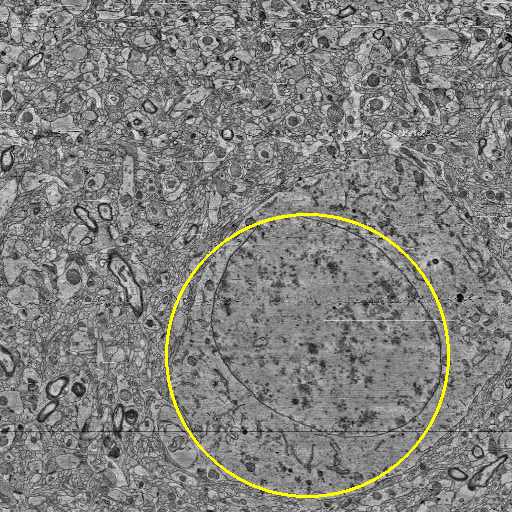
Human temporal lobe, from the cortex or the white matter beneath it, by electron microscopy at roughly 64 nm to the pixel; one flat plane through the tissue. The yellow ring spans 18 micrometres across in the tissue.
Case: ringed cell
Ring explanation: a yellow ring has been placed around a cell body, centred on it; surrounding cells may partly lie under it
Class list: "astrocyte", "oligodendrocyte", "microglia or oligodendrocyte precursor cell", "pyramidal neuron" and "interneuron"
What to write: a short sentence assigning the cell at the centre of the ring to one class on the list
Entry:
The cell at the ring's centre is a pyramidal neuron.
